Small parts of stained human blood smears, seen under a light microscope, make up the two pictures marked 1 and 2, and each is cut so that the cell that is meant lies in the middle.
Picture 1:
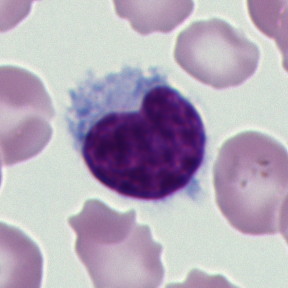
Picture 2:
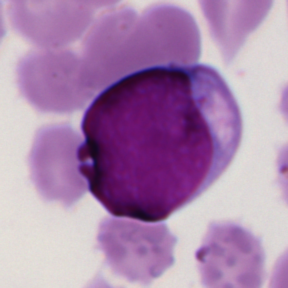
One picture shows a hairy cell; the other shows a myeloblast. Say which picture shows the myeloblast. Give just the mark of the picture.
2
